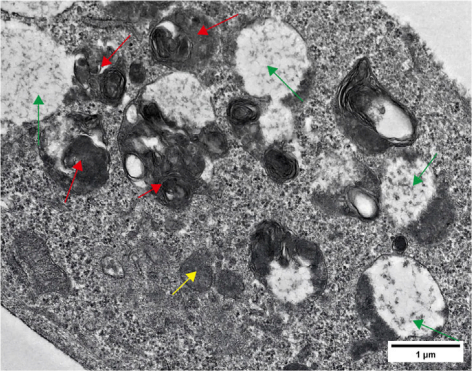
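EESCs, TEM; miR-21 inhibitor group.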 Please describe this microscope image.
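This electron micrograph shows the cytoplasm of a cell crowded with abnormal vacuolated structures and dense membranous bodies. Several large, round, pale spaces hold only sparse wispy, flocculent material, and some of them have a darker rim. Between these spaces lie many dark bodies made of concentric, whorled membranes, and some of these bodies enclose clear spaces. Toward the lower left, a few intact mitochondria with cristae remain.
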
